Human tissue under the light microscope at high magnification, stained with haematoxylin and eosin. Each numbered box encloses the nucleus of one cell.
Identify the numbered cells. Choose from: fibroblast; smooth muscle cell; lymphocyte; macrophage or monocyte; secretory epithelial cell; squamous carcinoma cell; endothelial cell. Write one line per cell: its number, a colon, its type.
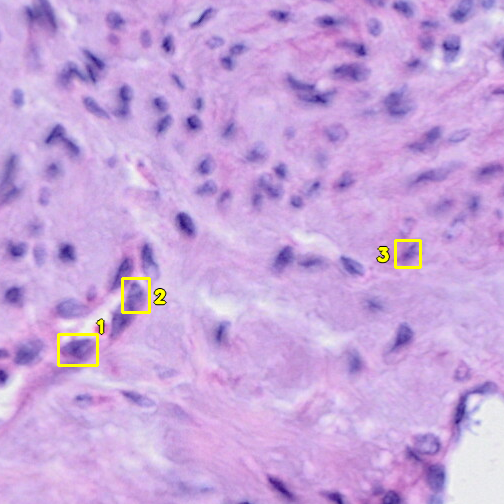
1: endothelial cell
2: endothelial cell
3: smooth muscle cell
